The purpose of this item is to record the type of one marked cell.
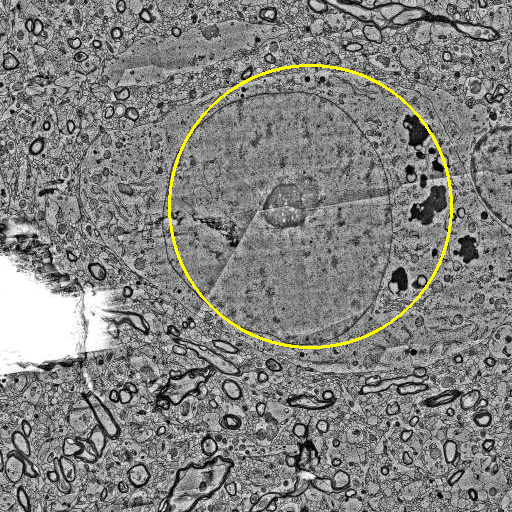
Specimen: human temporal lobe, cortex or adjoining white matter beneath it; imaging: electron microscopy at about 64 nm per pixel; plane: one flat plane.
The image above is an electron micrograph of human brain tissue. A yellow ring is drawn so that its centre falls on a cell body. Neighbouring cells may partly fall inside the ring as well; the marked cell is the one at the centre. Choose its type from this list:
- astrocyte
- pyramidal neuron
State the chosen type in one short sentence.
What the ring marks here is a pyramidal neuron.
